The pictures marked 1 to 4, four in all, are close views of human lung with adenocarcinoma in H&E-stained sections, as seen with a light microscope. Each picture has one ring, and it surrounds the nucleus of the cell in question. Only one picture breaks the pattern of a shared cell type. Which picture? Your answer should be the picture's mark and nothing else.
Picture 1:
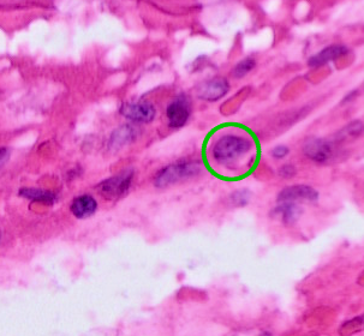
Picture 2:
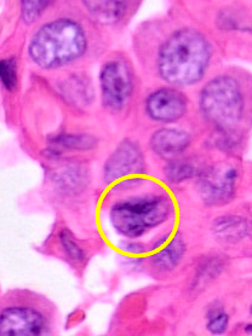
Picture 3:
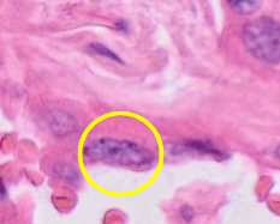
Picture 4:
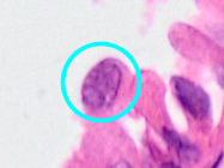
1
